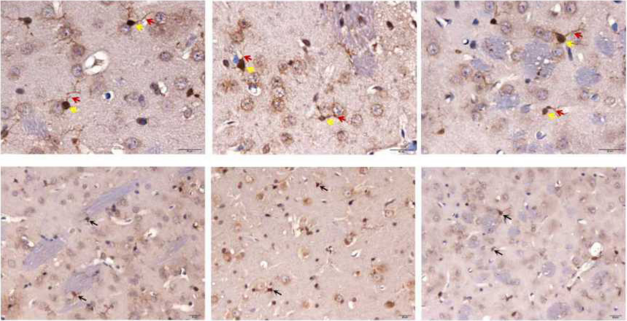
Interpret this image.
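The brown cells have small, compact, dark cell bodies, and several give off thin, branching processes into the surrounding pale tissue. At the higher magnification single brown cell bodies and their short processes can be told apart. At the lower magnification the brown cells appear as small dark dots spread sparsely through the tissue.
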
